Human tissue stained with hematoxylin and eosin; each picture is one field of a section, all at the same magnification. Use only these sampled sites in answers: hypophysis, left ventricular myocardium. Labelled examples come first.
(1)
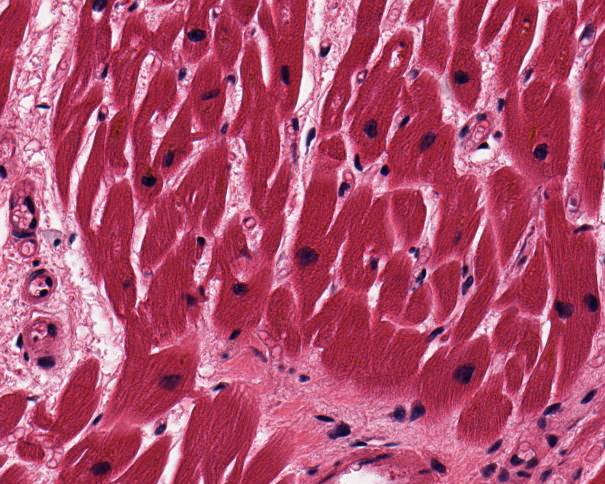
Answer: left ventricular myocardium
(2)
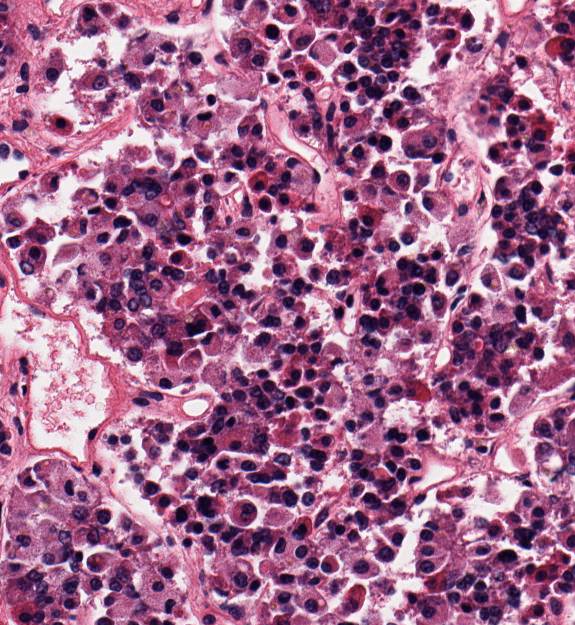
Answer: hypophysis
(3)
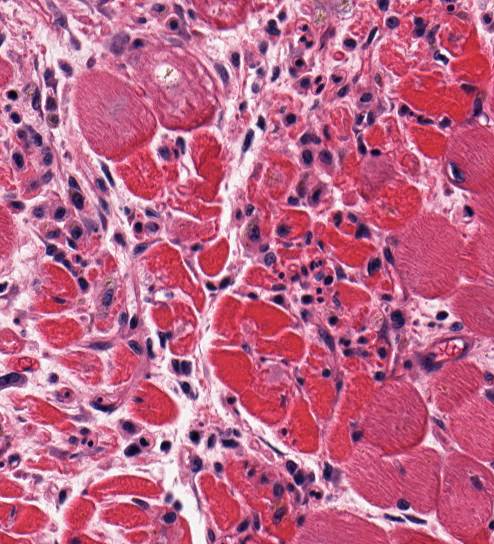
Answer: left ventricular myocardium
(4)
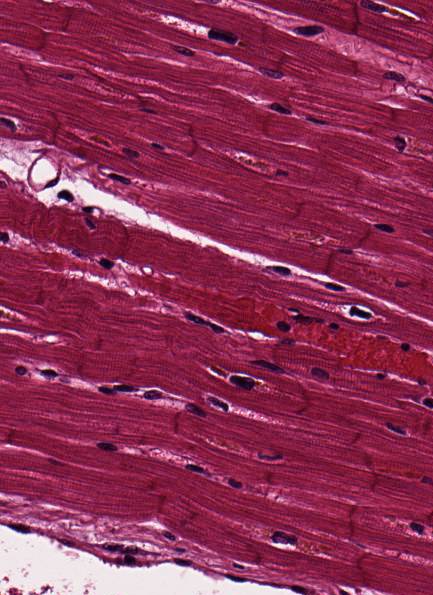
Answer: left ventricular myocardium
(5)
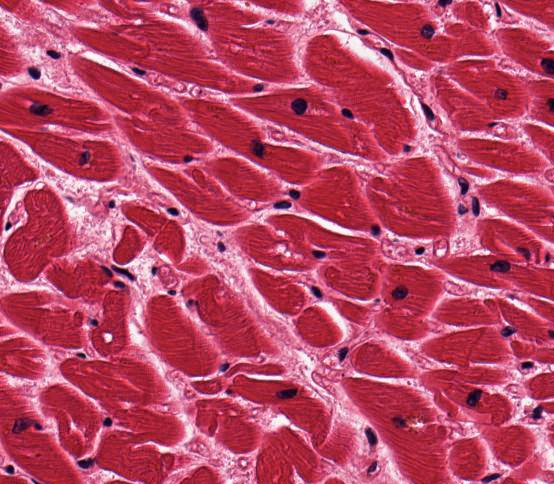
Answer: left ventricular myocardium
